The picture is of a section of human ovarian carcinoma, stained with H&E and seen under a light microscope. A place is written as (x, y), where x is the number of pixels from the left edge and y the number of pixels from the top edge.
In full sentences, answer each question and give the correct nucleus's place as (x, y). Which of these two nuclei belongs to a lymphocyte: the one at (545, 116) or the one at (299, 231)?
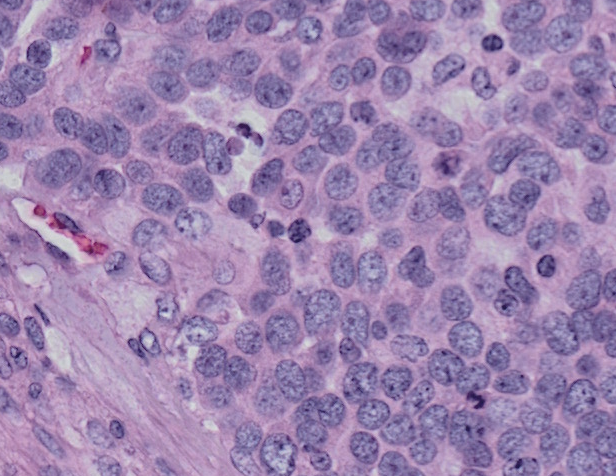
The nucleus of the pair that lies within a lymphocyte is at (299, 231).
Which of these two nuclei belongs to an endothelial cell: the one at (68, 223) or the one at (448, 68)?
It is at (68, 223) that the nucleus of an endothelial cell is found.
